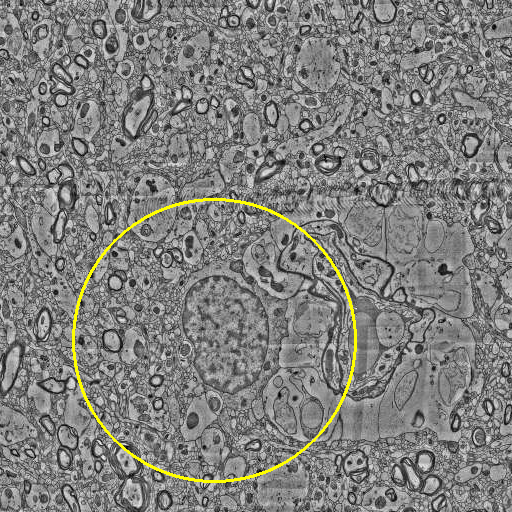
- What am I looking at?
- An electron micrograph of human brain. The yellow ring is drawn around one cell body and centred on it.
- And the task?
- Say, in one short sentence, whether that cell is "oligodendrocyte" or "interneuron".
The cell in the middle of the ring is an oligodendrocyte.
